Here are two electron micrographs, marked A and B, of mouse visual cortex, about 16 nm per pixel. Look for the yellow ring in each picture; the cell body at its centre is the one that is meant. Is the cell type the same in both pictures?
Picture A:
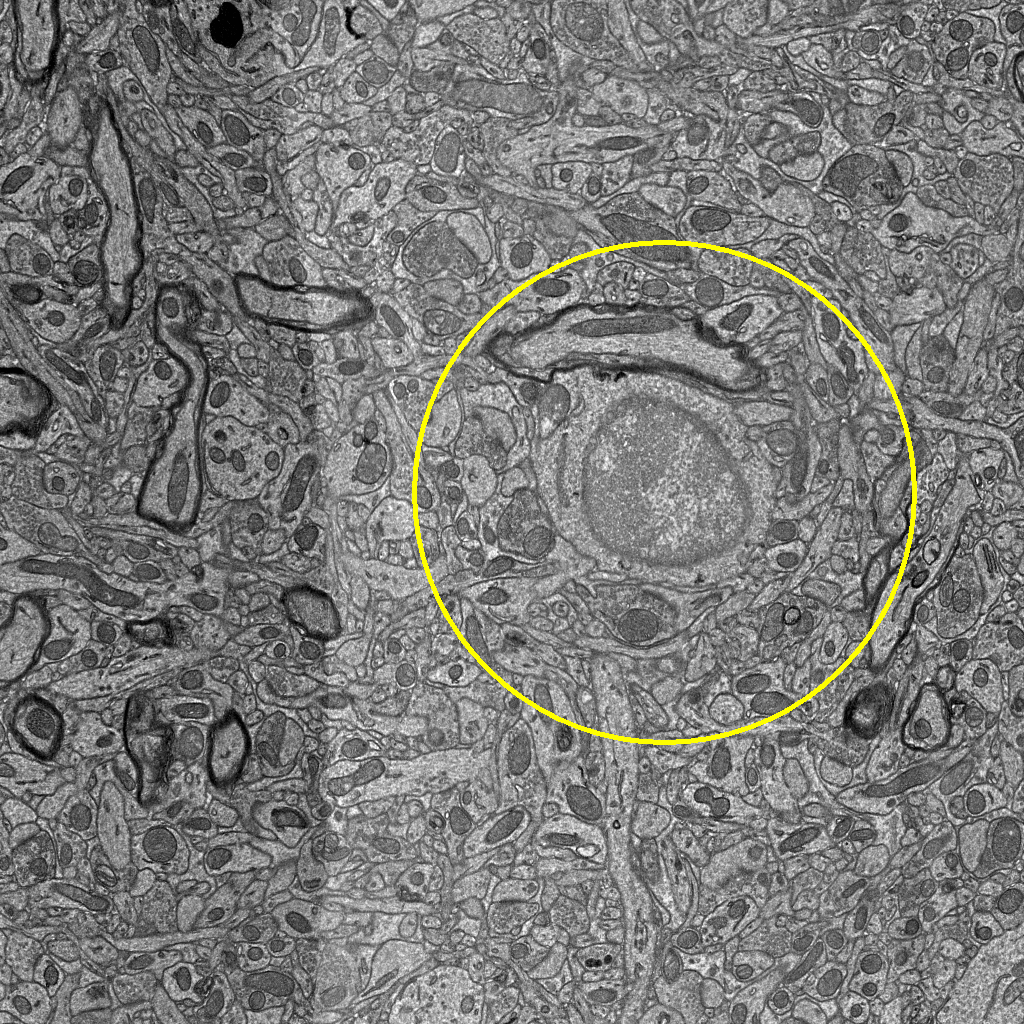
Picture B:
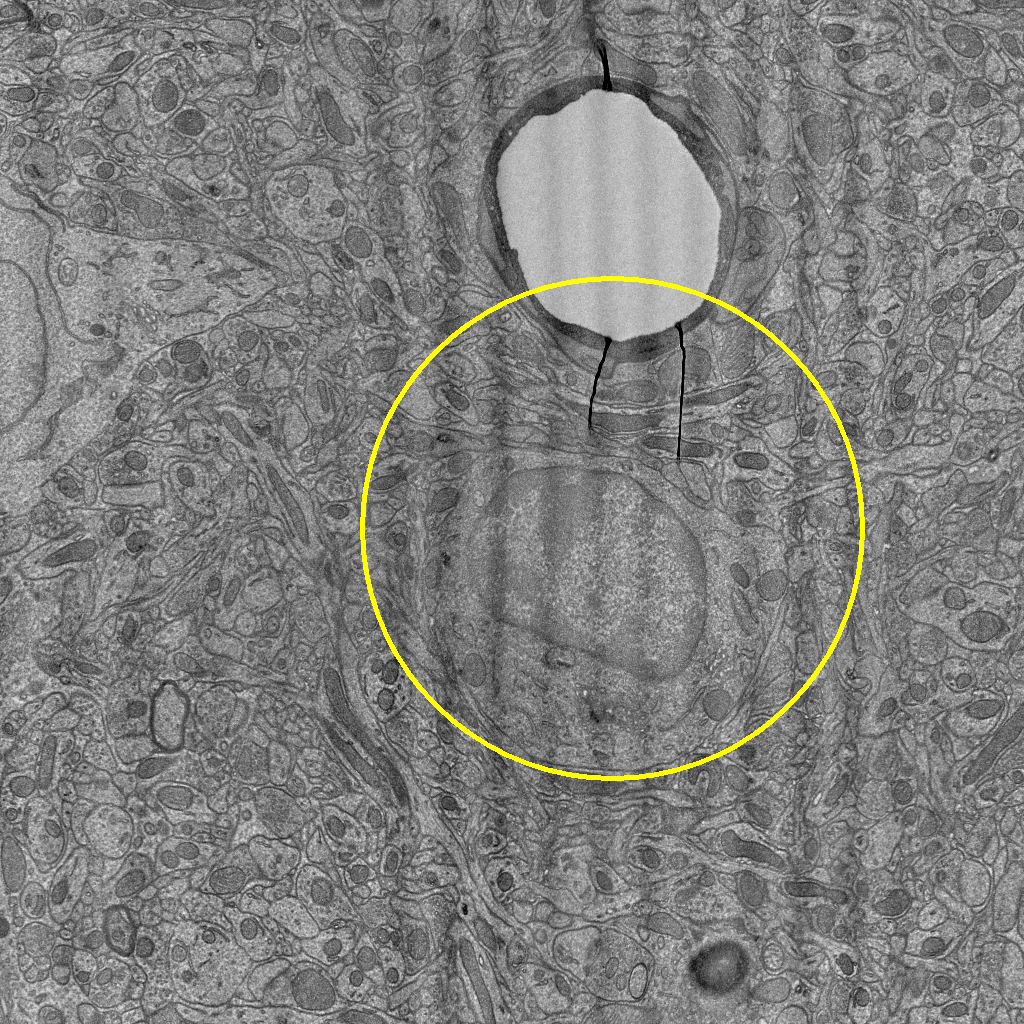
Yes, they are the same type: both are oligodendrocytes.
